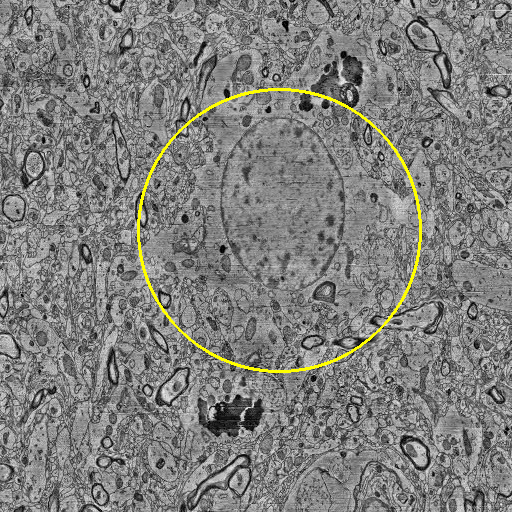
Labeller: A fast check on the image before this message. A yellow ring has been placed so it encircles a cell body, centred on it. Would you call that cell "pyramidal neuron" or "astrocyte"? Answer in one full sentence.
In this image, an astrocyte is the cell on which the yellow ring is centred.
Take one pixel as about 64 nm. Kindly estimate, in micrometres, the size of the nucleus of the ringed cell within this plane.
The nucleus works out at approximately 11 by 8 micrometres in this plane.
